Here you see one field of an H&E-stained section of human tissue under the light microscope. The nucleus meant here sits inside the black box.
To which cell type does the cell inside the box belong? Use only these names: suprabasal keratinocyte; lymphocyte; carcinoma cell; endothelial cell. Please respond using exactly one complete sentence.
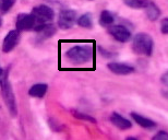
As classified here, the cell inside the box is a lymphocyte.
